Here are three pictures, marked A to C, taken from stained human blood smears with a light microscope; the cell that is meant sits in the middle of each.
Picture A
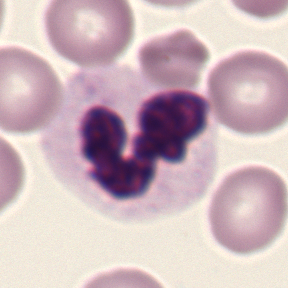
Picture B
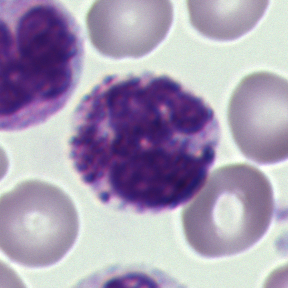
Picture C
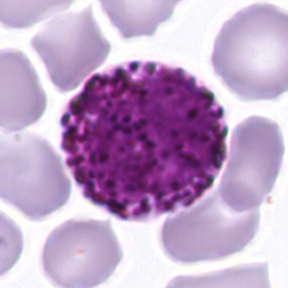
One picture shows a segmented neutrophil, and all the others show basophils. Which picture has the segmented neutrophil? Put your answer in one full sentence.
Picture A shows the segmented neutrophil.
